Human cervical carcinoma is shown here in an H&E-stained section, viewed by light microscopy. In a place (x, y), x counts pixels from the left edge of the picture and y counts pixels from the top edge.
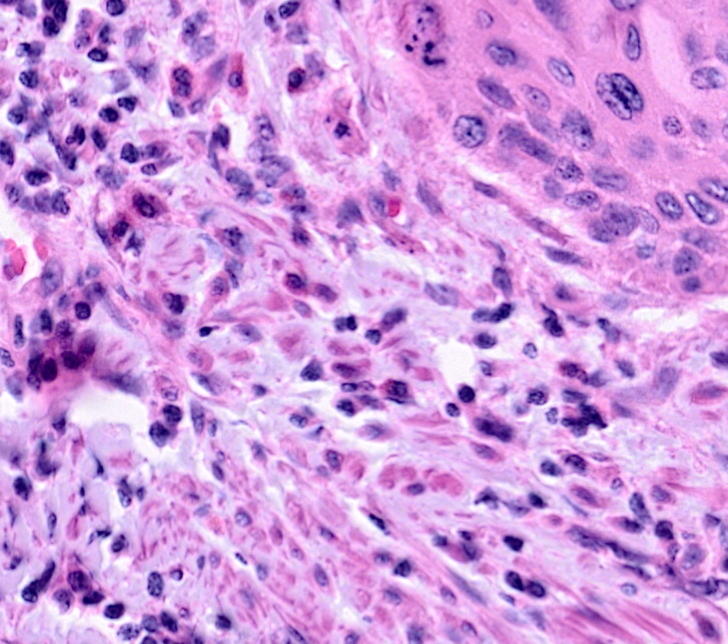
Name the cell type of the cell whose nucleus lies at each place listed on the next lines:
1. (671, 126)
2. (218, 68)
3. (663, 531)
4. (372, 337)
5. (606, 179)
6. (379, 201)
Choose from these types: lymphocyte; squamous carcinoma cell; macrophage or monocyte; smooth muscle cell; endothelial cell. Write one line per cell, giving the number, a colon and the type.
1: squamous carcinoma cell
2: endothelial cell
3: lymphocyte
4: lymphocyte
5: squamous carcinoma cell
6: endothelial cell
